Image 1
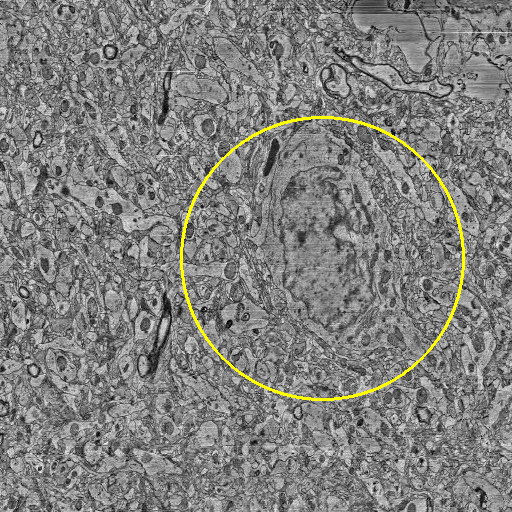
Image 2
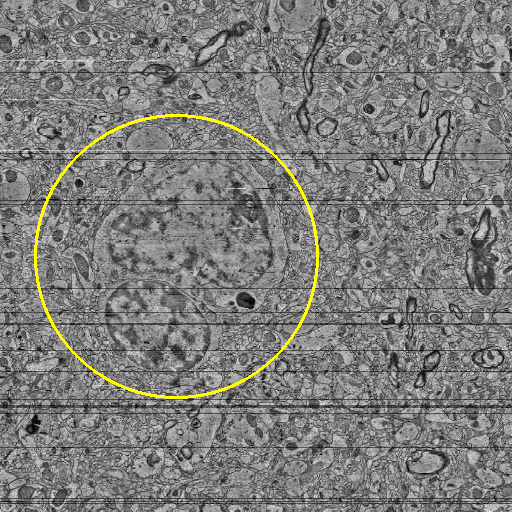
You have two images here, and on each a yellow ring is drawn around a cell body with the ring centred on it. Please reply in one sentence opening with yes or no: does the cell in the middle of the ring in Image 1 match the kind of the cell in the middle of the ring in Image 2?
Yes, the two images show cells of one kind at the centres of their rings.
